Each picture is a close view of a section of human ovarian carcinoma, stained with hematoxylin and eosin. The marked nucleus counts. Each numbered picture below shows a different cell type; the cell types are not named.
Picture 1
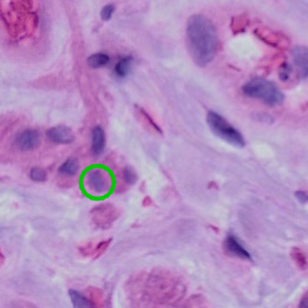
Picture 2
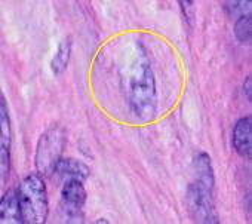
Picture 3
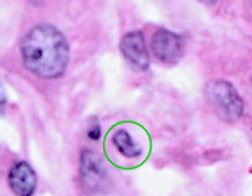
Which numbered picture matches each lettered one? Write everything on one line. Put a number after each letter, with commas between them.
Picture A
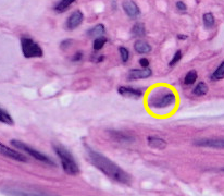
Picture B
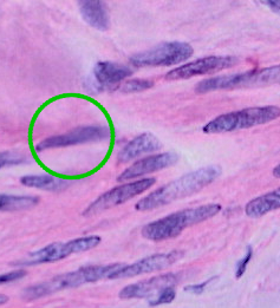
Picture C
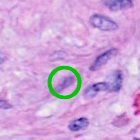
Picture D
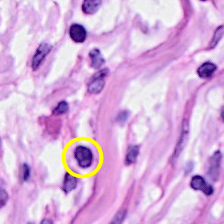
A 1, B 1, C 2, D 3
